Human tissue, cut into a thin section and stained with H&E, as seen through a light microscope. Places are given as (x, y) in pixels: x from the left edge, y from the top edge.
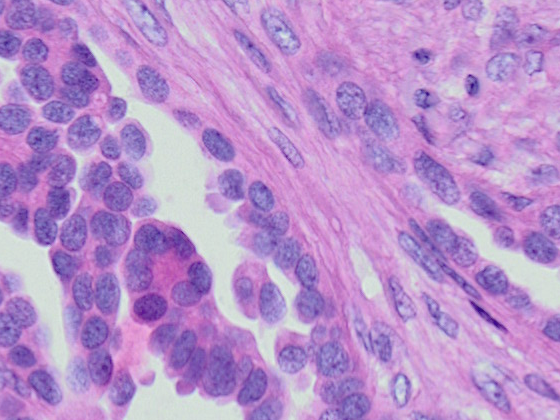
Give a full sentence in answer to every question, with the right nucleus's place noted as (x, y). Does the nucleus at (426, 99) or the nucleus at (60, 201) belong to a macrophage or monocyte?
Of these two nuclei, only the one at (426, 99) belongs to a macrophage or monocyte.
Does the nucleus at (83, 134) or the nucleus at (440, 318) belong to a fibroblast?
Between the two nuclei, the one sitting at (440, 318) belongs to a fibroblast.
